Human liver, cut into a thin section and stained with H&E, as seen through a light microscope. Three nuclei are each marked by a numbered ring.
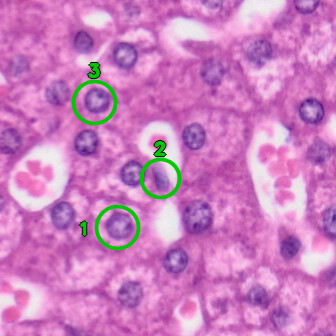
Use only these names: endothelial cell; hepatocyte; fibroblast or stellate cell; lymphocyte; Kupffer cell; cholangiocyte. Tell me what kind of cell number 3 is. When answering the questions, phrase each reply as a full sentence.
It is as a hepatocyte that the cell numbered 3 is identified.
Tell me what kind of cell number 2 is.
Cell 2 of the marked set is a Kupffer cell.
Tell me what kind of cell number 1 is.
The cell that bears the number 1 is a hepatocyte.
